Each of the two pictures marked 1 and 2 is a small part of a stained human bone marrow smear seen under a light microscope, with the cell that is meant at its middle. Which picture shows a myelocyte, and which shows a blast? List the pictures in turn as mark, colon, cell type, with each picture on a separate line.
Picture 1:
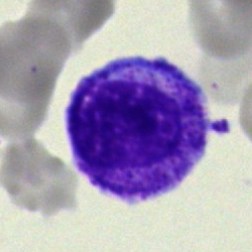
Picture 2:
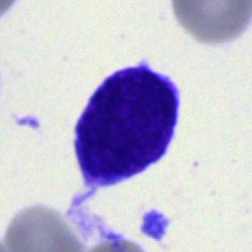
1: myelocyte
2: blast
